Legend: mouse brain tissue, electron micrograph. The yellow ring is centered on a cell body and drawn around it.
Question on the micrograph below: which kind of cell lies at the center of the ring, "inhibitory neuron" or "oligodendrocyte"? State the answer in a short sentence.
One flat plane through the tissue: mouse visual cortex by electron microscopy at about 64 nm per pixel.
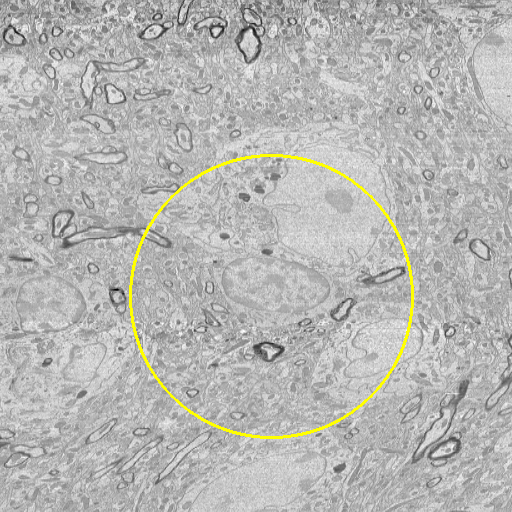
At the center of the ring lies an oligodendrocyte.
